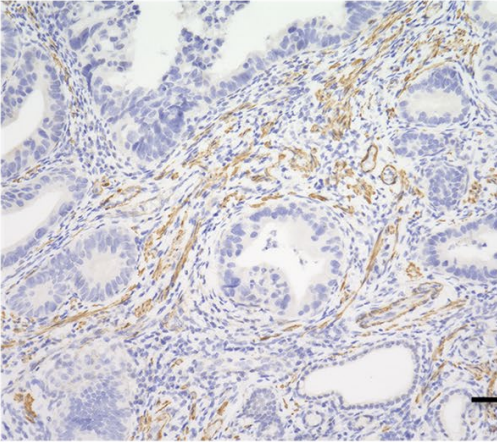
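Elongated spindle-shaped cells with slender brown cytoplasm run in strands and loose bundles through the connective tissue between the glands, some encircling them. The glands are lined by columnar epithelial cells with blue, crowded nuclei and no brown staining. Small vessel walls in the stroma are also brown.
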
